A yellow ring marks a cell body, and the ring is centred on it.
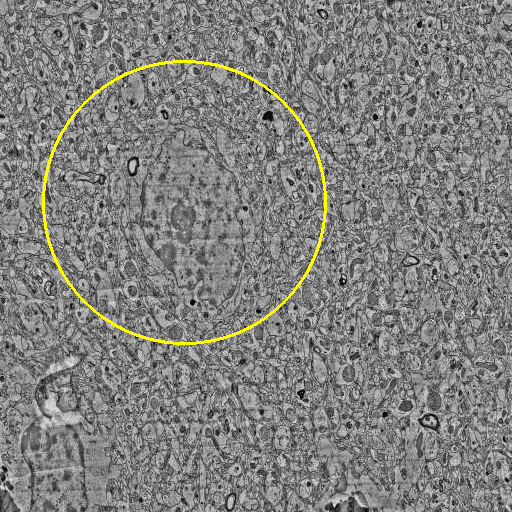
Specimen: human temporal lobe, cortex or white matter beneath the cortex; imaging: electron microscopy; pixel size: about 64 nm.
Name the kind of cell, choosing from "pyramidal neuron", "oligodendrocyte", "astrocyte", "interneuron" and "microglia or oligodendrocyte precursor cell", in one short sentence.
The marked cell body belongs to an interneuron.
